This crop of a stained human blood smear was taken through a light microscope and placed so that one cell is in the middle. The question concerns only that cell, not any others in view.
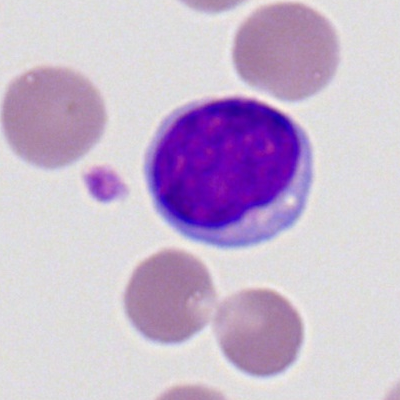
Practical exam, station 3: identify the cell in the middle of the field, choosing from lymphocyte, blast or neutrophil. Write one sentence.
The centrally located cell in the crop is a lymphocyte.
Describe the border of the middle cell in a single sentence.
Nothing juts out from the margin, which is smooth throughout.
